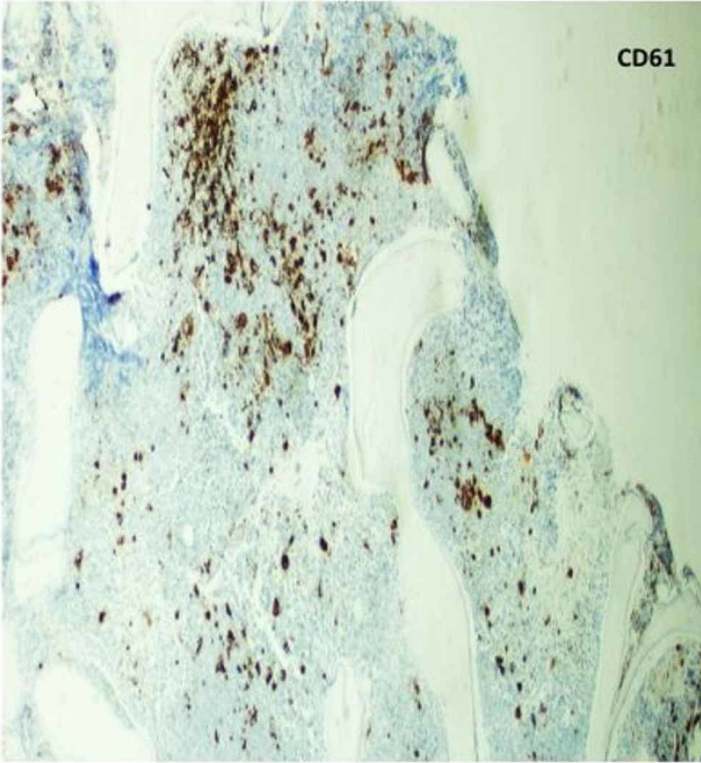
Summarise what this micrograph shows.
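This is a low-power view of a bone marrow core in which many scattered cells stand out in dark brown against a pale blue counterstained marrow. The brown cells are numerous, lying singly and in loose clusters, most densely in the upper part of the core. Many of them are small, while fewer are larger and rounder. Pale, unstained bony trabeculae run between the marrow spaces. The brown cells are megakaryocytes, increased in number, with many small dwarf forms among them.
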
